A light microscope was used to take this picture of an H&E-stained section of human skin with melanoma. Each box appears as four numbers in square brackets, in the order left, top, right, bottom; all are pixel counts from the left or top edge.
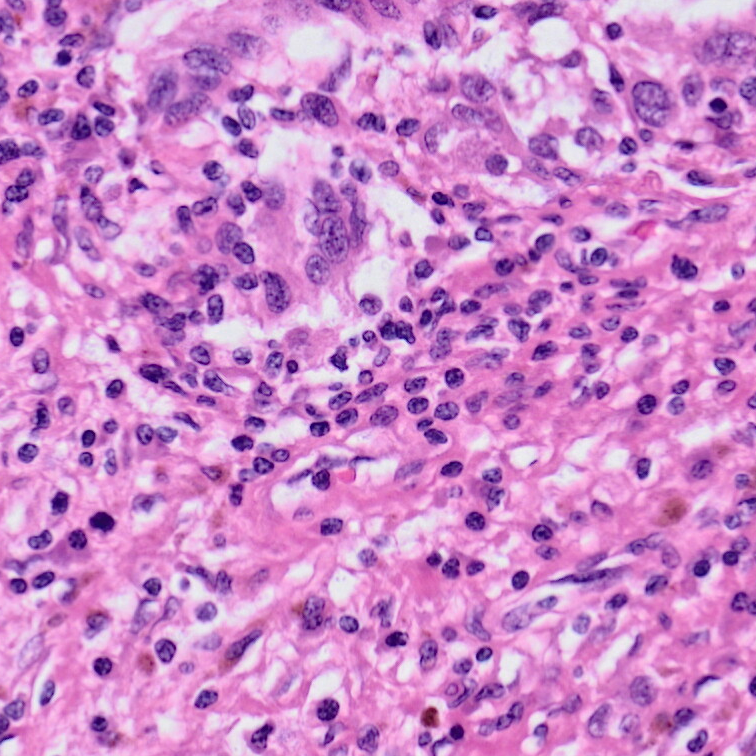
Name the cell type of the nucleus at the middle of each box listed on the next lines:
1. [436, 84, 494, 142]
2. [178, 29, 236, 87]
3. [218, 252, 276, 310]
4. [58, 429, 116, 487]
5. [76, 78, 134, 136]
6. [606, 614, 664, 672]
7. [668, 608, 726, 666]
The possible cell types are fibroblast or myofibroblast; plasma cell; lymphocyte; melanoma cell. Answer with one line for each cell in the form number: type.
1: melanoma cell
2: melanoma cell
3: lymphocyte
4: lymphocyte
5: plasma cell
6: fibroblast or myofibroblast
7: fibroblast or myofibroblast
